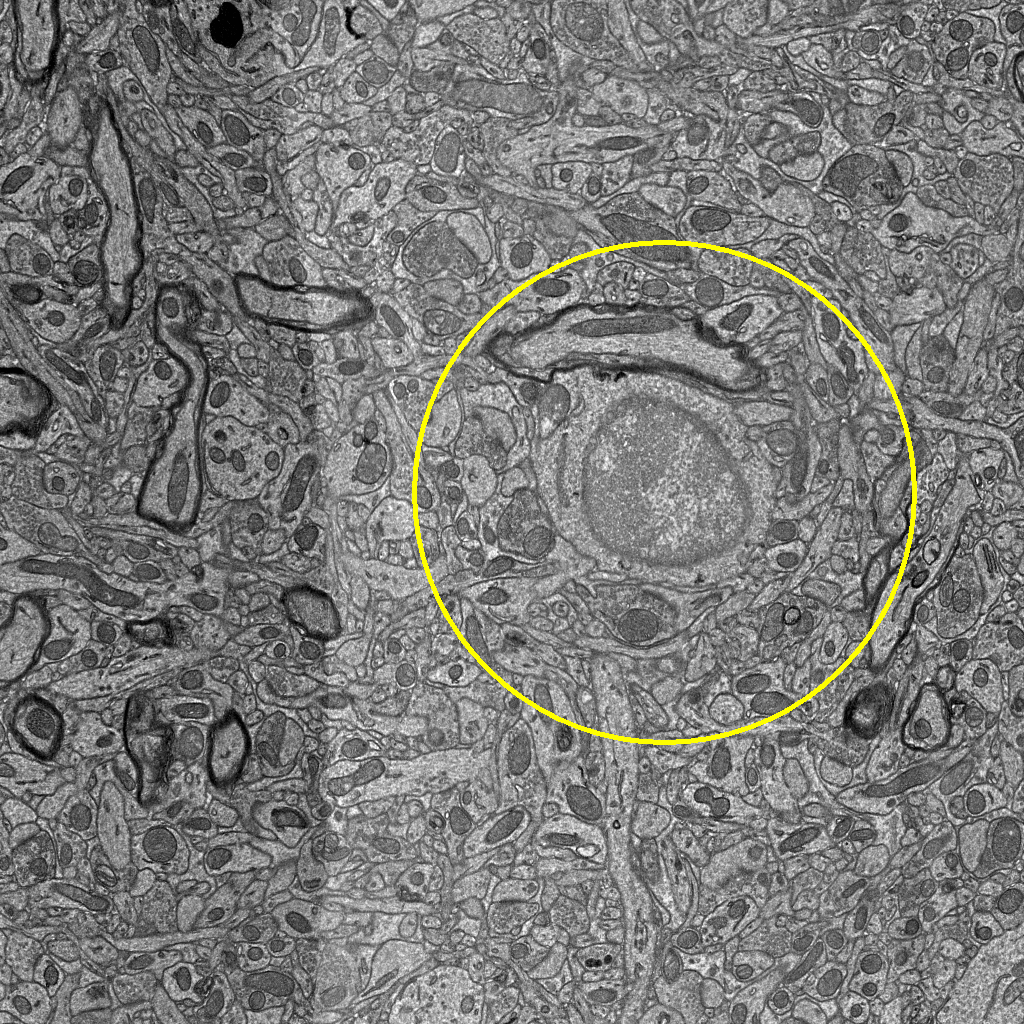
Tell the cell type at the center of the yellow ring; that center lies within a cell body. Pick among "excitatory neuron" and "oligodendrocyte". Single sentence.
The ring's center lies in the body of an oligodendrocyte.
